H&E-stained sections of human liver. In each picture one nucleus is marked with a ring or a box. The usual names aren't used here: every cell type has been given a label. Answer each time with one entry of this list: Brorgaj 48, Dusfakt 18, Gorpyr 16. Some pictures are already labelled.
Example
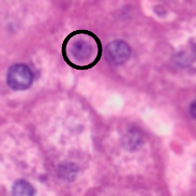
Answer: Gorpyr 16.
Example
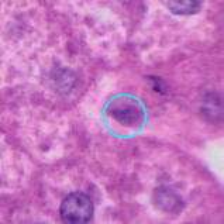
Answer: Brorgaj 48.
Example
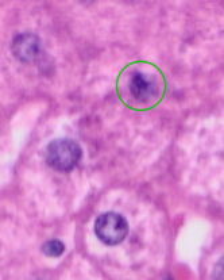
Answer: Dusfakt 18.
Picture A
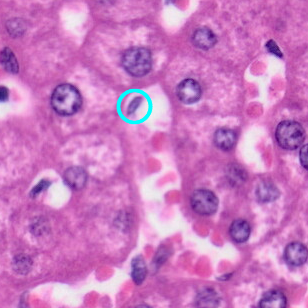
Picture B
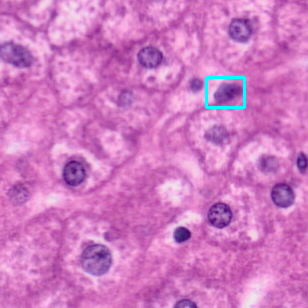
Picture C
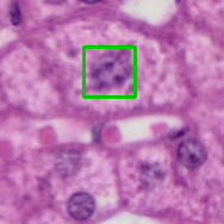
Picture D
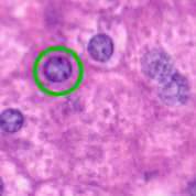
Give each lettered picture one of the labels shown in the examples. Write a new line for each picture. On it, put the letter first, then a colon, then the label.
A: Dusfakt 18.
B: Dusfakt 18.
C: Gorpyr 16.
D: Gorpyr 16.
